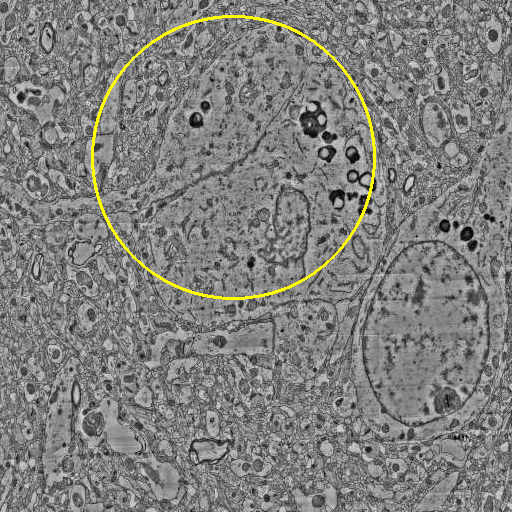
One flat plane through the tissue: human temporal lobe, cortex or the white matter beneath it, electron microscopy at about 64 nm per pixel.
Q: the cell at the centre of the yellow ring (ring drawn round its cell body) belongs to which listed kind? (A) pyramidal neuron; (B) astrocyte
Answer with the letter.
A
